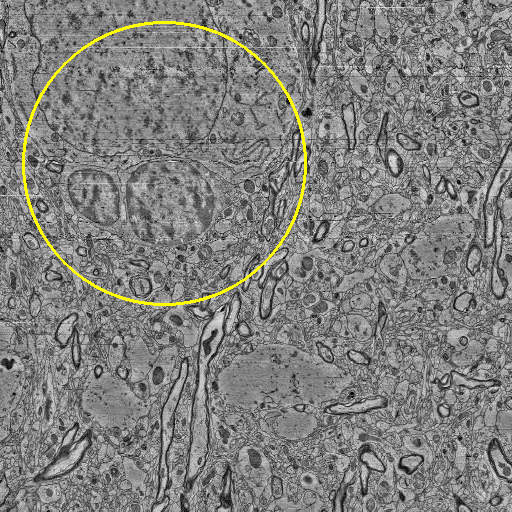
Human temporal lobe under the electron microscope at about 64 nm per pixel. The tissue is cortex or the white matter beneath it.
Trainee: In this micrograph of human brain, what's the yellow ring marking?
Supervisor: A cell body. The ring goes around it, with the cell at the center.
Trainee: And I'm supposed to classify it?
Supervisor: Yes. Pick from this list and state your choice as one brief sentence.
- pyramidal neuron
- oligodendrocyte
The cell at the ring's center is an oligodendrocyte.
